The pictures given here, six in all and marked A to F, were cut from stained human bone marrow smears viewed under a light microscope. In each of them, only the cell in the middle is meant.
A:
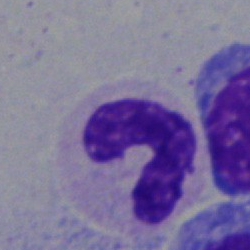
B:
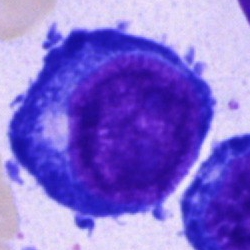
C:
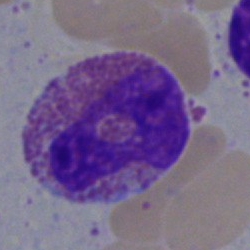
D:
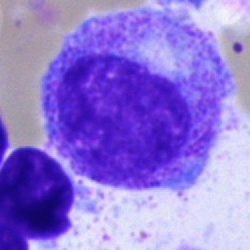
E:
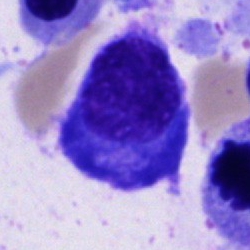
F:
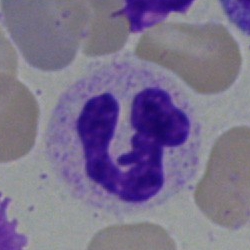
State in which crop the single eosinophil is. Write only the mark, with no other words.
C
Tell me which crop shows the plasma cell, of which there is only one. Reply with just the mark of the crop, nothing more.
E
